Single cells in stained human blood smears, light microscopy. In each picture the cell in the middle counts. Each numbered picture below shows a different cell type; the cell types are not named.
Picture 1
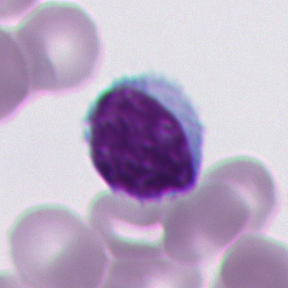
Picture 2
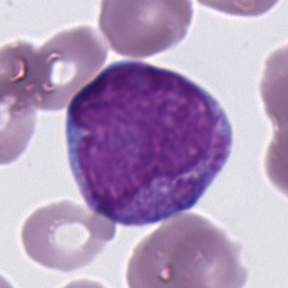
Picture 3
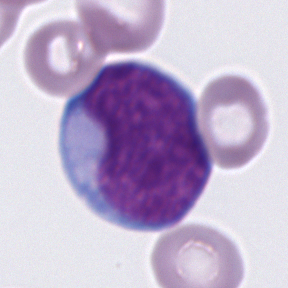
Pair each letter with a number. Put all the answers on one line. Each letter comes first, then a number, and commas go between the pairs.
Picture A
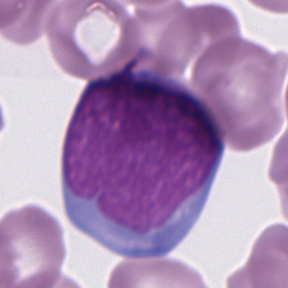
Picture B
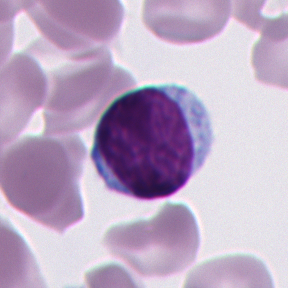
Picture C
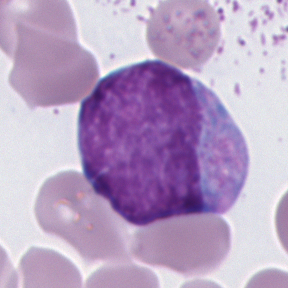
A 3, B 1, C 2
